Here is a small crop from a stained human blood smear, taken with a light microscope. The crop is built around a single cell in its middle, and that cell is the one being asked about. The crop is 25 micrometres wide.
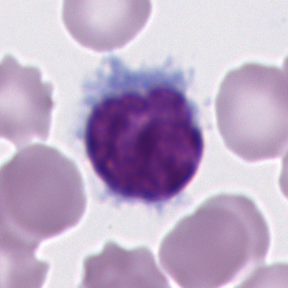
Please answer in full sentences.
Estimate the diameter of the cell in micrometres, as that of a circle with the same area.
It measures about 12 micrometres across.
